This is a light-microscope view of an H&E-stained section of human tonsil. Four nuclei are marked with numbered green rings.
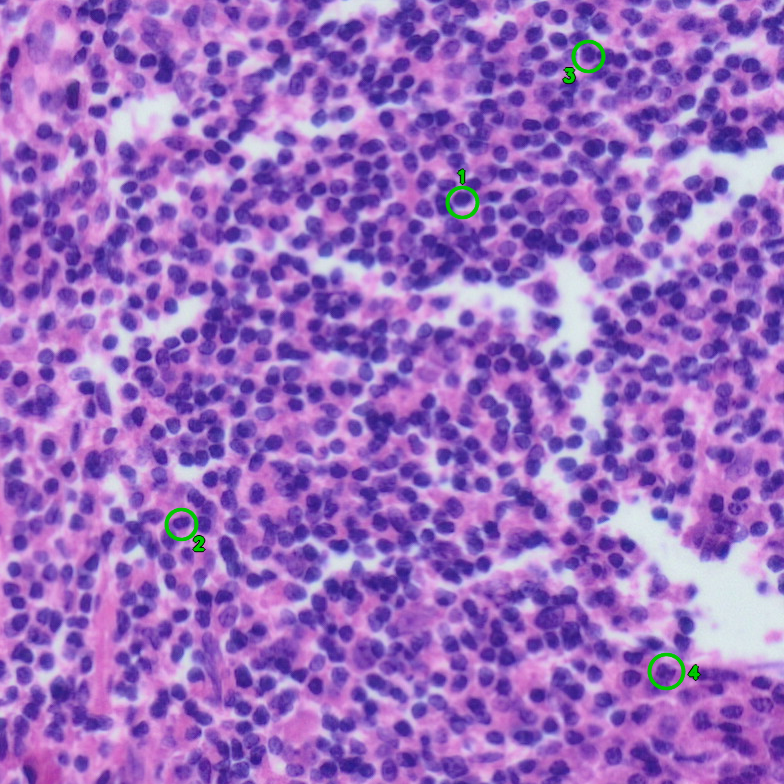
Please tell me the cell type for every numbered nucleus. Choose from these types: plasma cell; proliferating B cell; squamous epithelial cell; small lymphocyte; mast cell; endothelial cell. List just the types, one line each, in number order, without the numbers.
small lymphocyte
small lymphocyte
small lymphocyte
plasma cell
